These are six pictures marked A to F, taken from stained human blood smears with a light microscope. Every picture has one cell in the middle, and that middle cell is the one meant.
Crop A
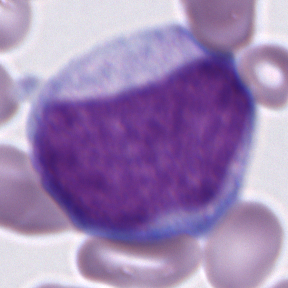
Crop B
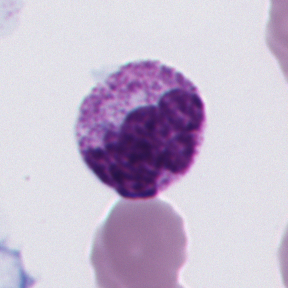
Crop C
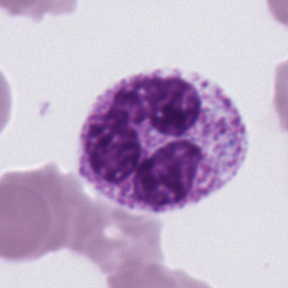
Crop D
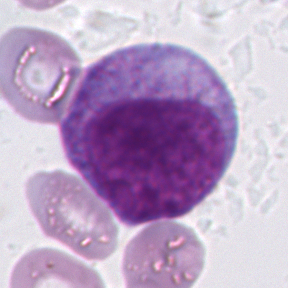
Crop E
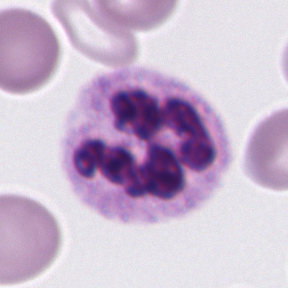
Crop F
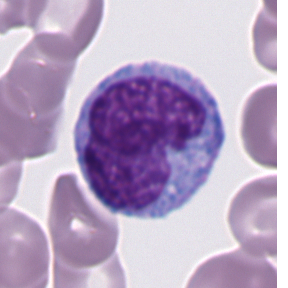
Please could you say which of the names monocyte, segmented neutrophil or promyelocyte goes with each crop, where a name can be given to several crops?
A: promyelocyte
B: segmented neutrophil
C: segmented neutrophil
D: promyelocyte
E: segmented neutrophil
F: monocyte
